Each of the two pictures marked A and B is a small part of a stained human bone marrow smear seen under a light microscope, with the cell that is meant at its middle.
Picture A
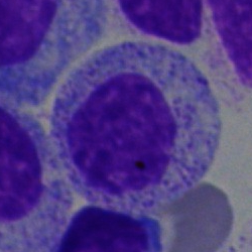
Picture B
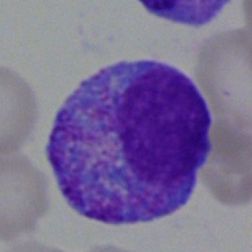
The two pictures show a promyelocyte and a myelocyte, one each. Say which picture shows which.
A: myelocyte
B: promyelocyte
